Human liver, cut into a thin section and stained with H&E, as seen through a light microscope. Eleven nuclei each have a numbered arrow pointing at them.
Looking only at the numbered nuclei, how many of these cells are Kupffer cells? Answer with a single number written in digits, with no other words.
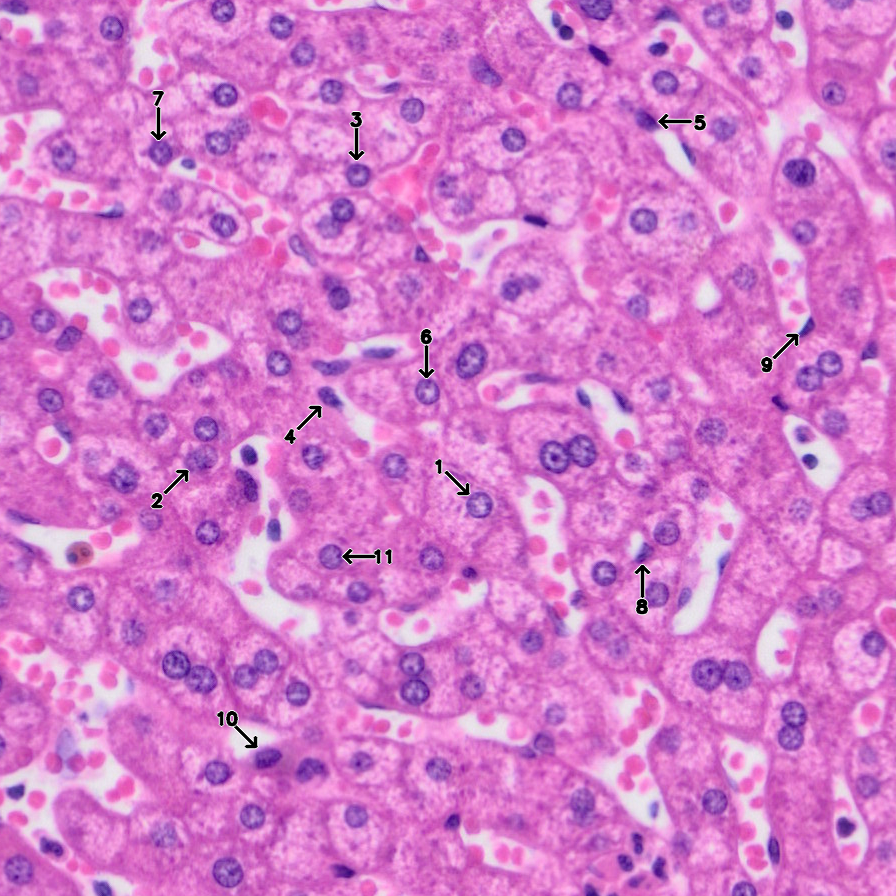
1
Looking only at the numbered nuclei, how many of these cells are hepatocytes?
6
